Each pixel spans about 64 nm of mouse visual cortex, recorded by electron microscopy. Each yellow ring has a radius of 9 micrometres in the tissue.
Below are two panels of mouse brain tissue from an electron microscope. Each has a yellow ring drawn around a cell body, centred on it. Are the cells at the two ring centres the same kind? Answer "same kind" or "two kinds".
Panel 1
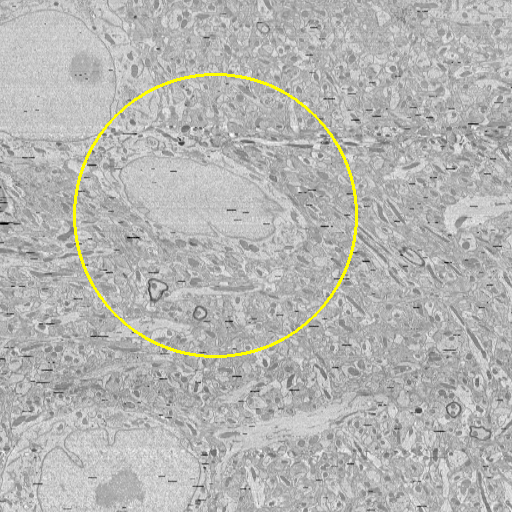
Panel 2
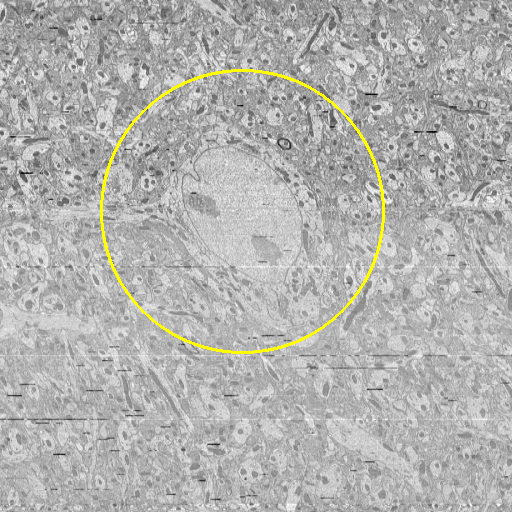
two kinds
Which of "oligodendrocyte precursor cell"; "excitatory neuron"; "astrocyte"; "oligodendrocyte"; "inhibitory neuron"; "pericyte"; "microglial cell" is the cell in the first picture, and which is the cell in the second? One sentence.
The two differ: the first cell is an inhibitory neuron and the second is an excitatory neuron.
